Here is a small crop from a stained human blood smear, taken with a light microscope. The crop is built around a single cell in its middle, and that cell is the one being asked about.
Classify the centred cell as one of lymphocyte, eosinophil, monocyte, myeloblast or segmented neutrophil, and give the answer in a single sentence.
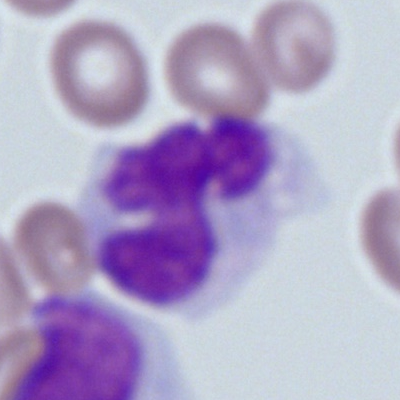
Within this crop, a monocyte occupies the central position.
